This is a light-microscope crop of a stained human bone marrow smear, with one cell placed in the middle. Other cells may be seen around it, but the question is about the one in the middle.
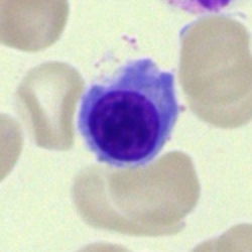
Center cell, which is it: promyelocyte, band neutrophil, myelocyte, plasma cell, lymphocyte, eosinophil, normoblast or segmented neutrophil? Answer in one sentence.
Positioned in the middle of the crop is a normoblast.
